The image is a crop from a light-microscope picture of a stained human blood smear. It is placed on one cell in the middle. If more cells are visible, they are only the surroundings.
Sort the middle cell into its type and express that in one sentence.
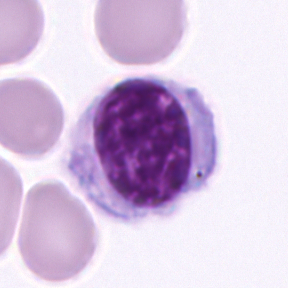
Answering briefly, the cell in the middle is a plasma cell.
